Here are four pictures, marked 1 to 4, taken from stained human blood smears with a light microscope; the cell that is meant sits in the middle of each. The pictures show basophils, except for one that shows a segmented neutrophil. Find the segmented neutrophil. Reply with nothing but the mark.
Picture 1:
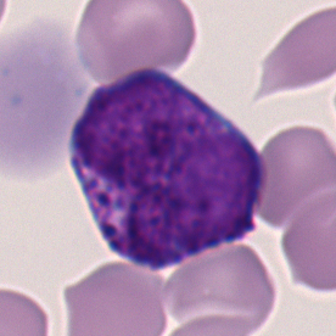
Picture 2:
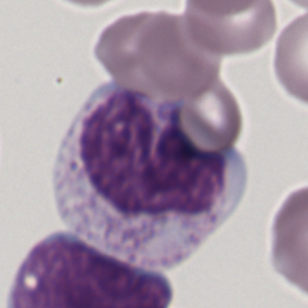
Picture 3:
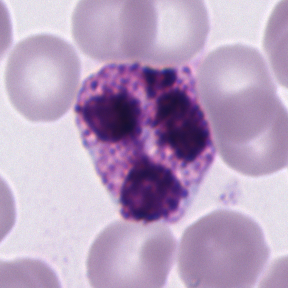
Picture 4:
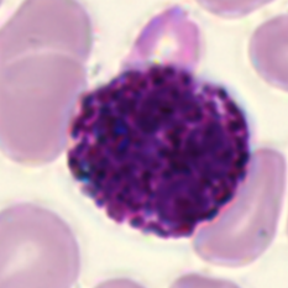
2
